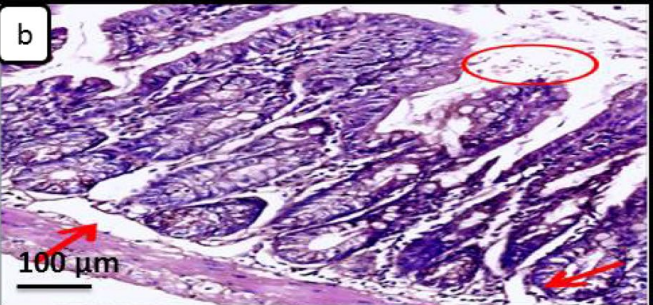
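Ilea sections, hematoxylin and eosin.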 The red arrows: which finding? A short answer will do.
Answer: Moderate edema.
